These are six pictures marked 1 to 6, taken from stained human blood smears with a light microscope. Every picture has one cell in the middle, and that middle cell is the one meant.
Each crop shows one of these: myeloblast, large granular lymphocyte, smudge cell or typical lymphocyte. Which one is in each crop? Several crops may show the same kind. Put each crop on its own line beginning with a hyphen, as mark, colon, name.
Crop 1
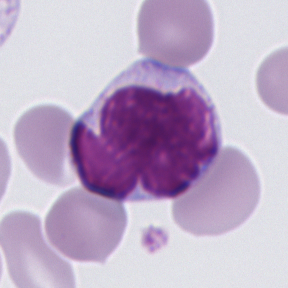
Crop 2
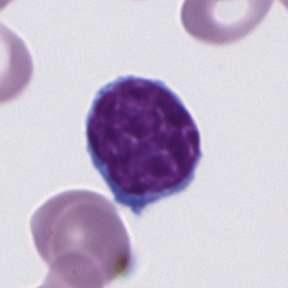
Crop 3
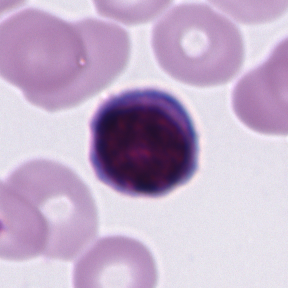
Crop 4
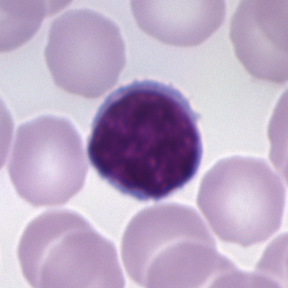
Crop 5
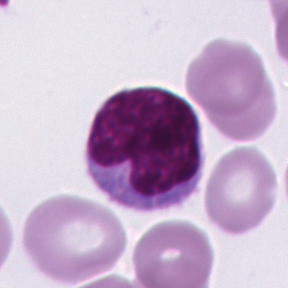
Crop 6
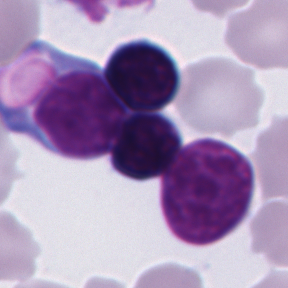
- 1: large granular lymphocyte
- 2: typical lymphocyte
- 3: typical lymphocyte
- 4: typical lymphocyte
- 5: typical lymphocyte
- 6: myeloblast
